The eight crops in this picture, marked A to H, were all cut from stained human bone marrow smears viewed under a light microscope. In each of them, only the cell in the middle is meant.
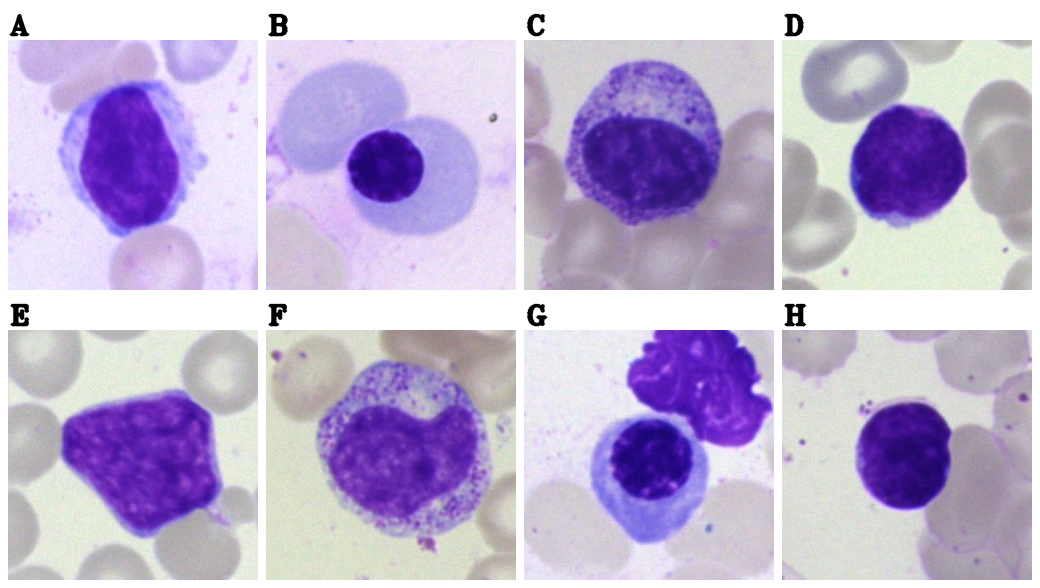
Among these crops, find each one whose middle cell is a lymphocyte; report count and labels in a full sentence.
In short, three crops contain lymphocytes: A, D and H.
